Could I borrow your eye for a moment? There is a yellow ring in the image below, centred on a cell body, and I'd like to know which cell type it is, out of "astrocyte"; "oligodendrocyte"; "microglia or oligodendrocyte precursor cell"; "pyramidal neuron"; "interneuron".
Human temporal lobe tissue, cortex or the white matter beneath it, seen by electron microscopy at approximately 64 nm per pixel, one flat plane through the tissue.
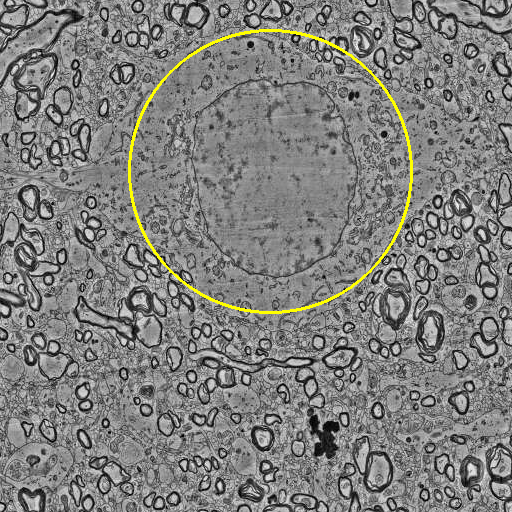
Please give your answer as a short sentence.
The cell body at the centre is that of a pyramidal neuron.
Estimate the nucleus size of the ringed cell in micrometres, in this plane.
The ringed cell's nucleus measures approximately 13 by 11 micrometres in this plane.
